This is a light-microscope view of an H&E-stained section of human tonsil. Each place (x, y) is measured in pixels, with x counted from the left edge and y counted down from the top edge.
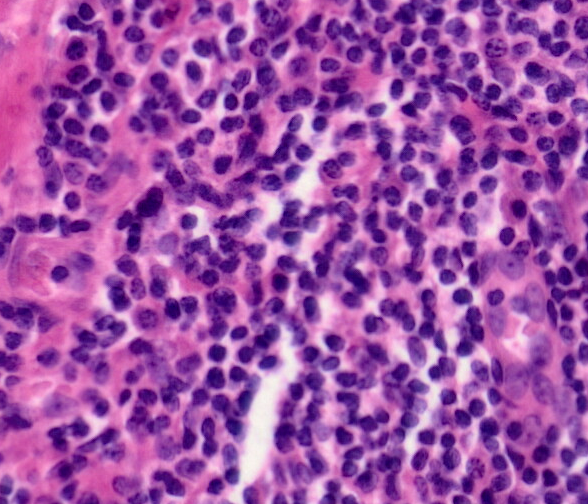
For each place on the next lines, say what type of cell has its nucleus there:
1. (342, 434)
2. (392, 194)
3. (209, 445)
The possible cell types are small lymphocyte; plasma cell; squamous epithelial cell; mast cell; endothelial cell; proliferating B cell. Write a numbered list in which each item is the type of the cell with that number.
1. small lymphocyte
2. plasma cell
3. small lymphocyte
